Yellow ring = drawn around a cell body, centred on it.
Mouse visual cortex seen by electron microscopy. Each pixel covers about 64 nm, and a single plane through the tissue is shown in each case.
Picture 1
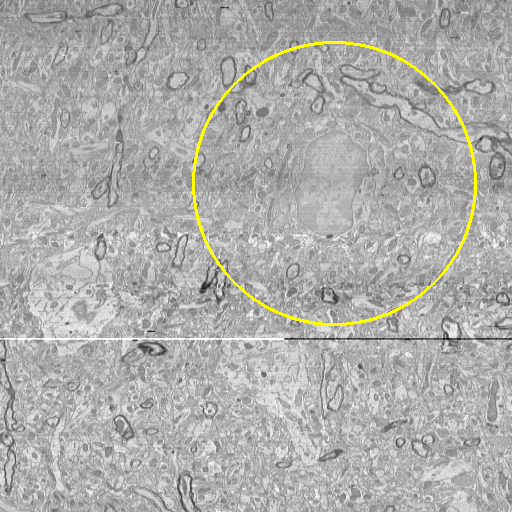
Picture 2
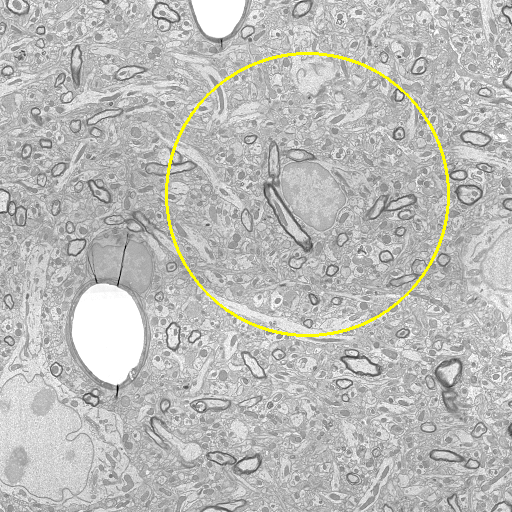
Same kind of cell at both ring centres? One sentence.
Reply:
Yes, they are the same kind of cell.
